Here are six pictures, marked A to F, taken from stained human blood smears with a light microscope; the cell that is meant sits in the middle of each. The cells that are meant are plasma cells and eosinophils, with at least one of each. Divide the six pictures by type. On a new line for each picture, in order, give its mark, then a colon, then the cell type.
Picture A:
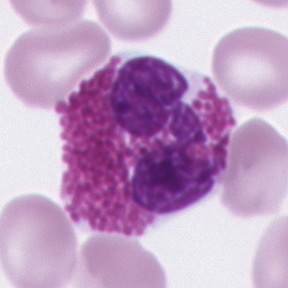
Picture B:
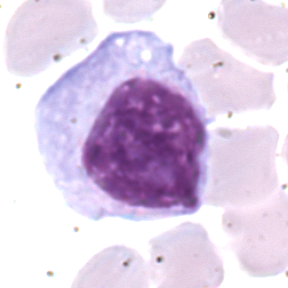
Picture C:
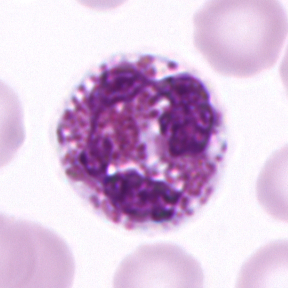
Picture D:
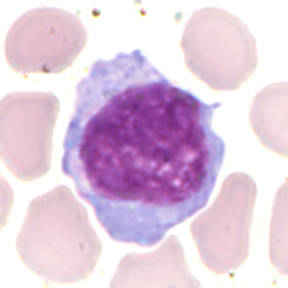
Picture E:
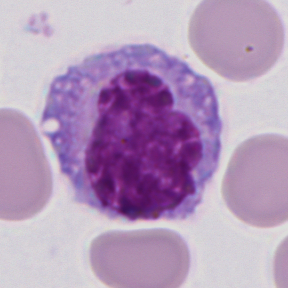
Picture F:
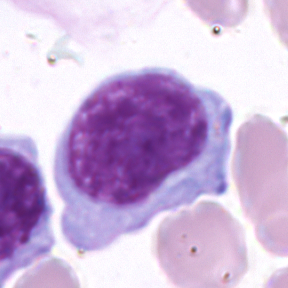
A: eosinophil
B: plasma cell
C: eosinophil
D: plasma cell
E: plasma cell
F: plasma cell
